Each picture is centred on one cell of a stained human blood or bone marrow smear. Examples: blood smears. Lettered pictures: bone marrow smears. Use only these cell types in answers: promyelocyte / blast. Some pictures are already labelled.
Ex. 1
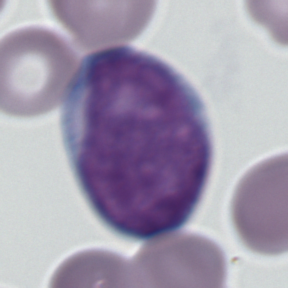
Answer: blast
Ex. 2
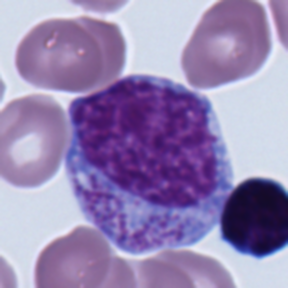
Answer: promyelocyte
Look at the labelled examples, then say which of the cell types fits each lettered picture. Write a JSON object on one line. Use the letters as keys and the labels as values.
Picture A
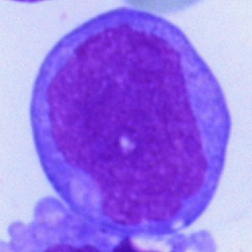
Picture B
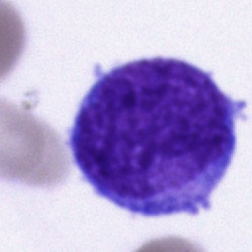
{"A": "blast", "B": "blast"}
